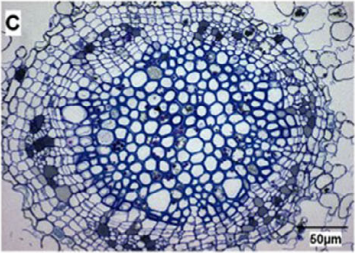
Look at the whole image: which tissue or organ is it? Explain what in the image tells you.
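A round cross-section with a central core of thick-walled blue cells. The central core is surrounded by a ring of thinner-walled parenchyma cells.
Conclusion: roots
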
